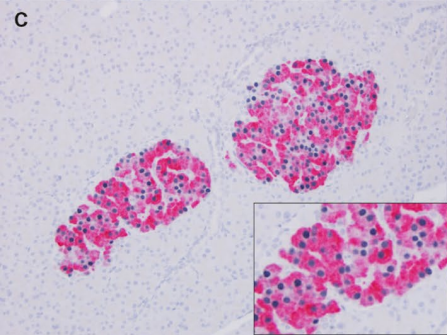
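Two pancreatic islets sit within pale exocrine tissue, one elongated and one rounded. Both are made up of tightly packed cells with strongly pink cytoplasm, arranged in cords, among which lie many round dark purple nuclei. The surrounding exocrine tissue shows only small pale blue nuclei and faintly tinted cytoplasm, giving a sharp border between the islets and the gland around them.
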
